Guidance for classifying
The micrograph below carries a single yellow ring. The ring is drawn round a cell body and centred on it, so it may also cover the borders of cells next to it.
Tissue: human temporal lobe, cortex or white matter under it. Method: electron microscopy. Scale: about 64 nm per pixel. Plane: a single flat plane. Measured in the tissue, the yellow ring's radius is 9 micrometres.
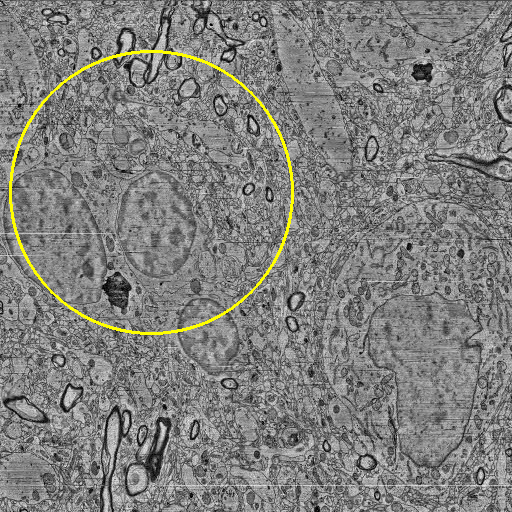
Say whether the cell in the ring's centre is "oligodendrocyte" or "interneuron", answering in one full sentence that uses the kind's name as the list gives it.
Within the yellow ring, an oligodendrocyte is the cell whose body sits at the centre.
